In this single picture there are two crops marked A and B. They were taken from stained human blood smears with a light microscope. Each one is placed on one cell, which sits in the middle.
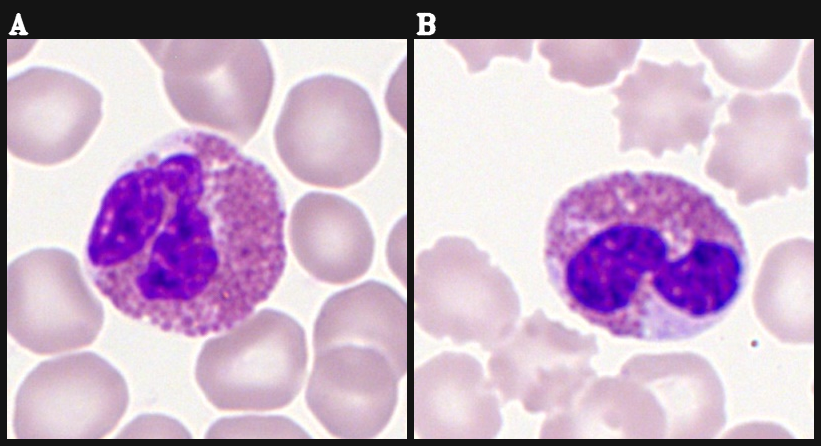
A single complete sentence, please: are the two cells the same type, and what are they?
Yes, eosinophils are depicted in both crops.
